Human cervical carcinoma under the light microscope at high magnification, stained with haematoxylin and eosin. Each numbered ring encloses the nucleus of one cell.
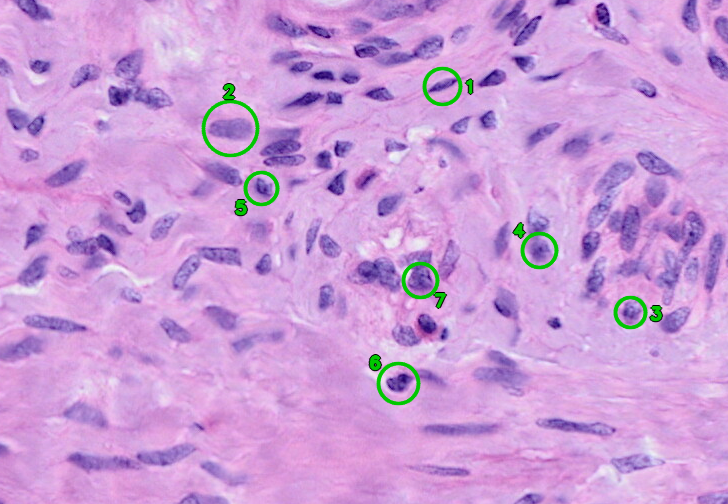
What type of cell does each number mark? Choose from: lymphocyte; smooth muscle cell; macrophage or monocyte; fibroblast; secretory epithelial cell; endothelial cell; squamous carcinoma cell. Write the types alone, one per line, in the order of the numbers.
fibroblast
fibroblast
smooth muscle cell
fibroblast
fibroblast
lymphocyte
endothelial cell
